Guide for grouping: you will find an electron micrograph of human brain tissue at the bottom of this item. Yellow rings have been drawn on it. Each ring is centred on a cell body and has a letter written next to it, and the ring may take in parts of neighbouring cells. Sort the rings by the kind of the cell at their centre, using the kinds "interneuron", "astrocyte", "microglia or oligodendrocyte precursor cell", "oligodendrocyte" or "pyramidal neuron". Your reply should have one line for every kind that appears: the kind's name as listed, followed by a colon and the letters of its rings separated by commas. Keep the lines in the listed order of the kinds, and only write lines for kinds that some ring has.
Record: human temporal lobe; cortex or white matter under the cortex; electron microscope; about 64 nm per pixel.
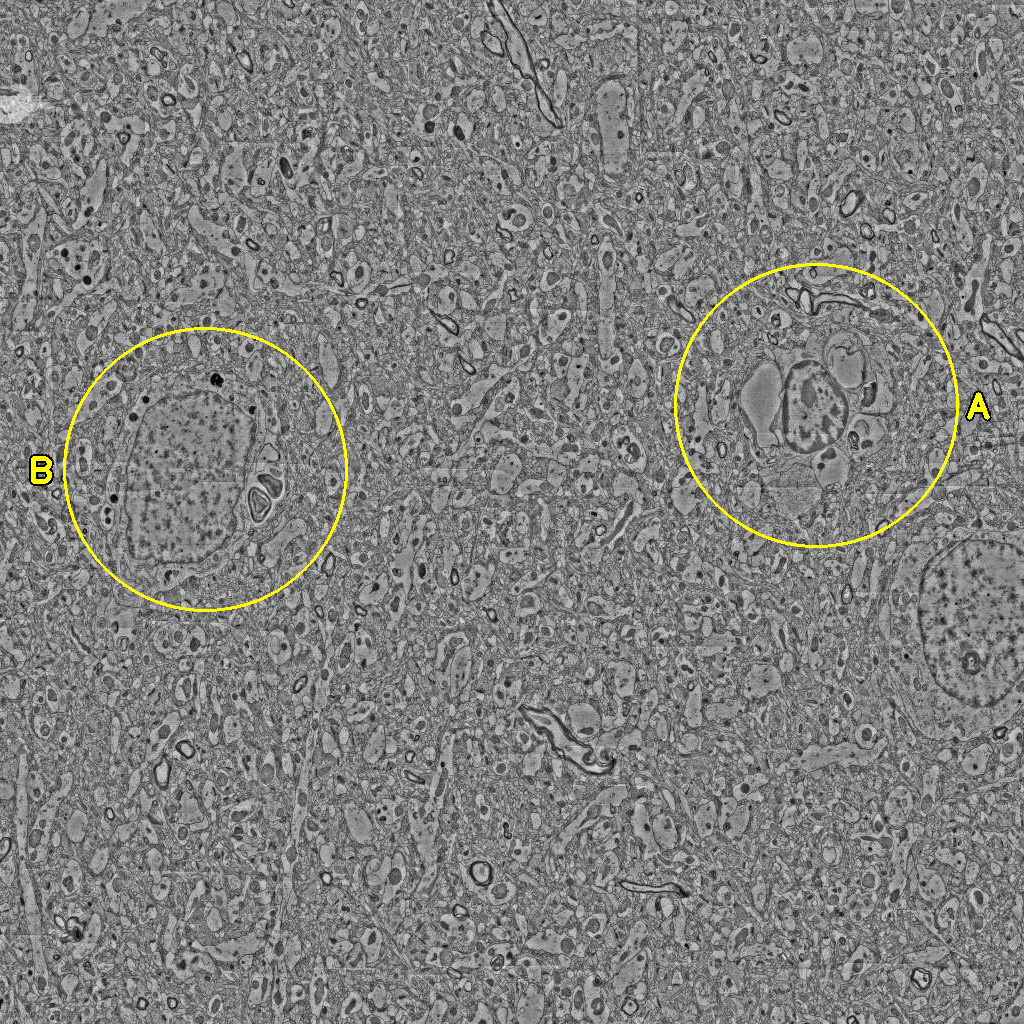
interneuron: B
microglia or oligodendrocyte precursor cell: A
